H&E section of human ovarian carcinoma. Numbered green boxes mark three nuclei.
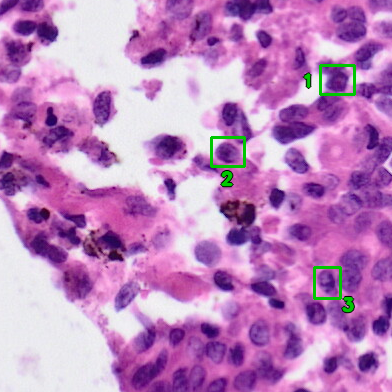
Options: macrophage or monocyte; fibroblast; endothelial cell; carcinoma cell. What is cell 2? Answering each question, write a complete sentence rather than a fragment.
Among the marked cells, number 2 is a carcinoma cell.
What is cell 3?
Cell 3 in the field is a macrophage or monocyte.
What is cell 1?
The marked nucleus 1 is that of a carcinoma cell.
